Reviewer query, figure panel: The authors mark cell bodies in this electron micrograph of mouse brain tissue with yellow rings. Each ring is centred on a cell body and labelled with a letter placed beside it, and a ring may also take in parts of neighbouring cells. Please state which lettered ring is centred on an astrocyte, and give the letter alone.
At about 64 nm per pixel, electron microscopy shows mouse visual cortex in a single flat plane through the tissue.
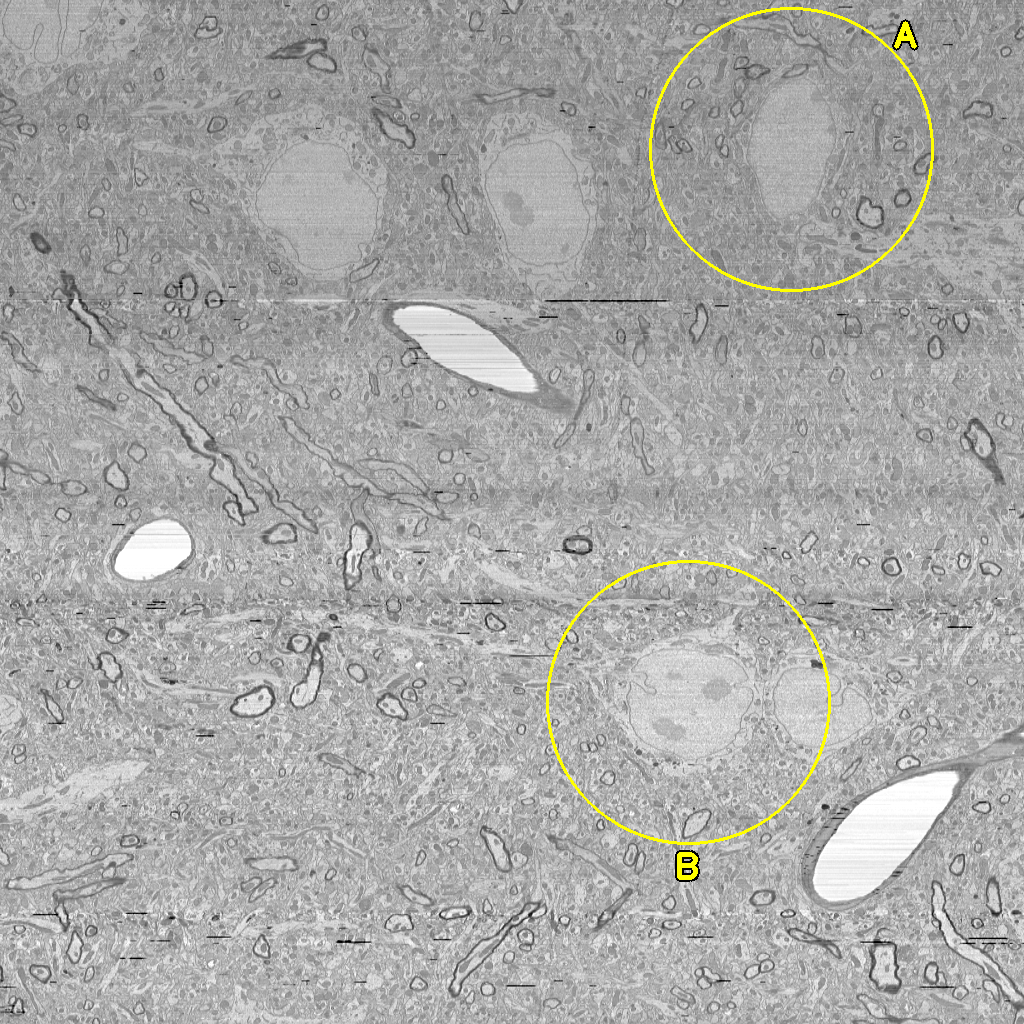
A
